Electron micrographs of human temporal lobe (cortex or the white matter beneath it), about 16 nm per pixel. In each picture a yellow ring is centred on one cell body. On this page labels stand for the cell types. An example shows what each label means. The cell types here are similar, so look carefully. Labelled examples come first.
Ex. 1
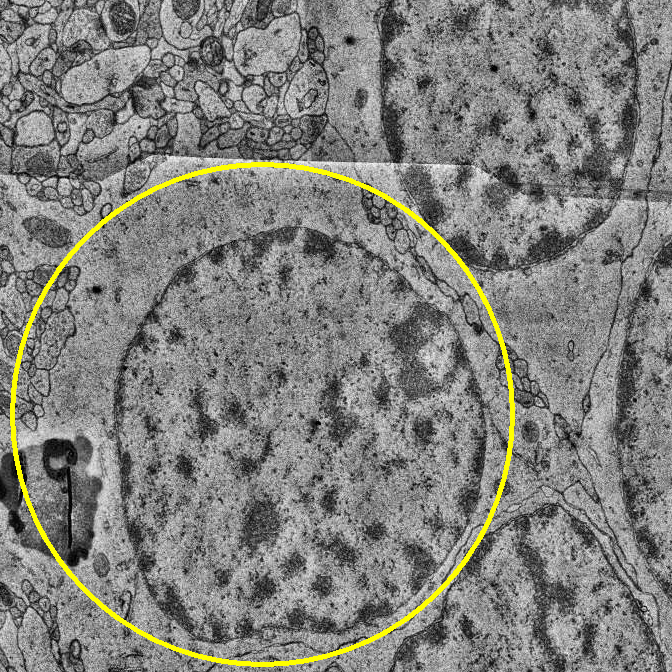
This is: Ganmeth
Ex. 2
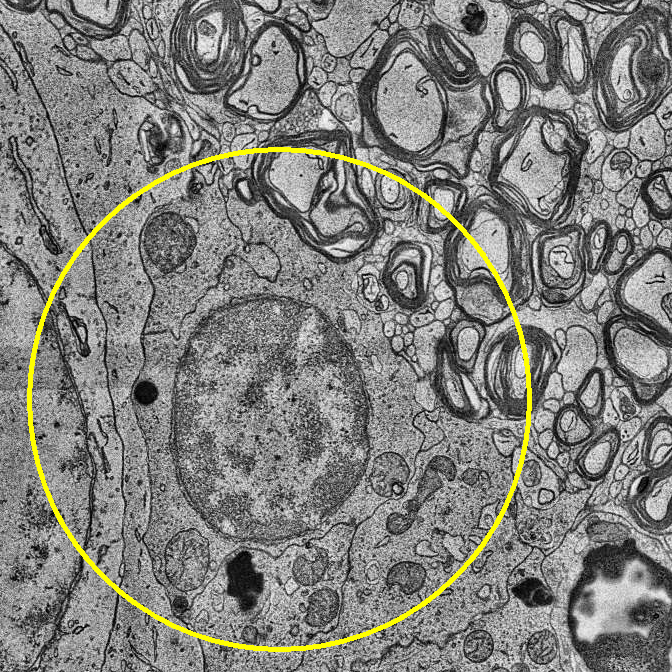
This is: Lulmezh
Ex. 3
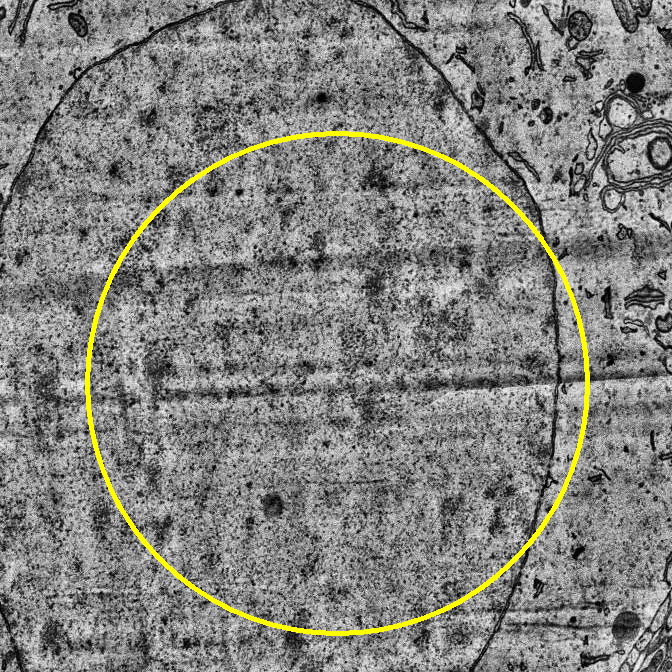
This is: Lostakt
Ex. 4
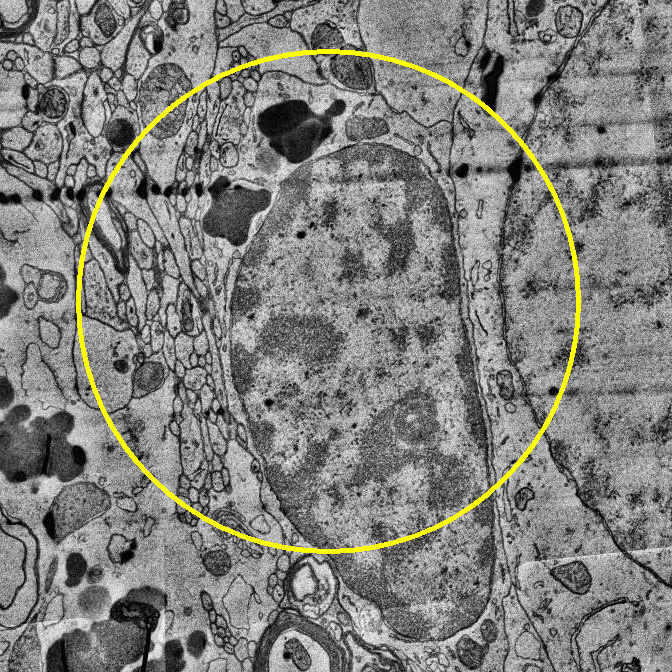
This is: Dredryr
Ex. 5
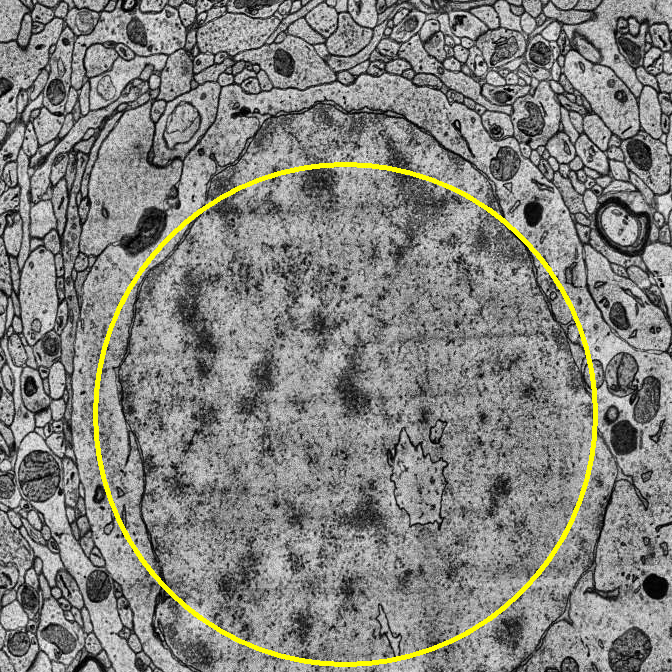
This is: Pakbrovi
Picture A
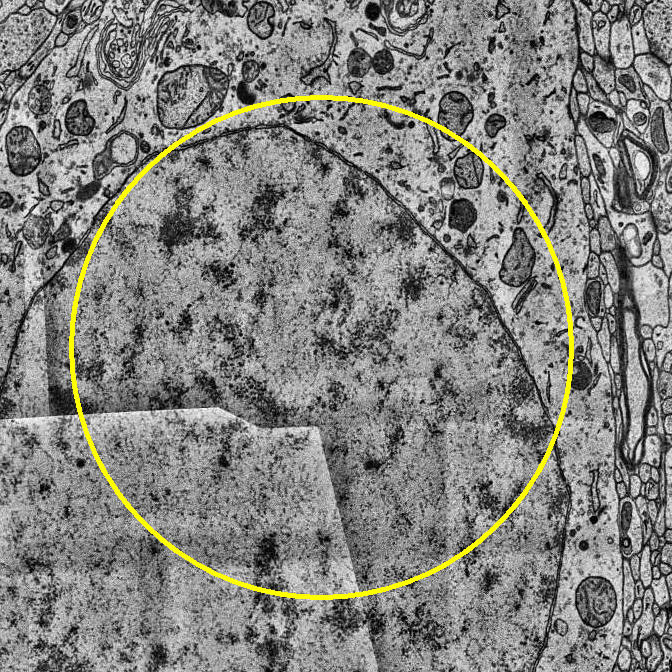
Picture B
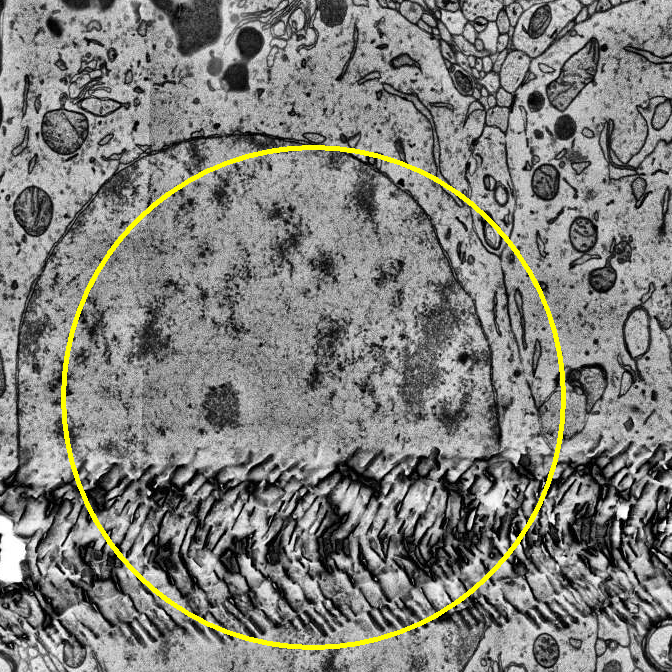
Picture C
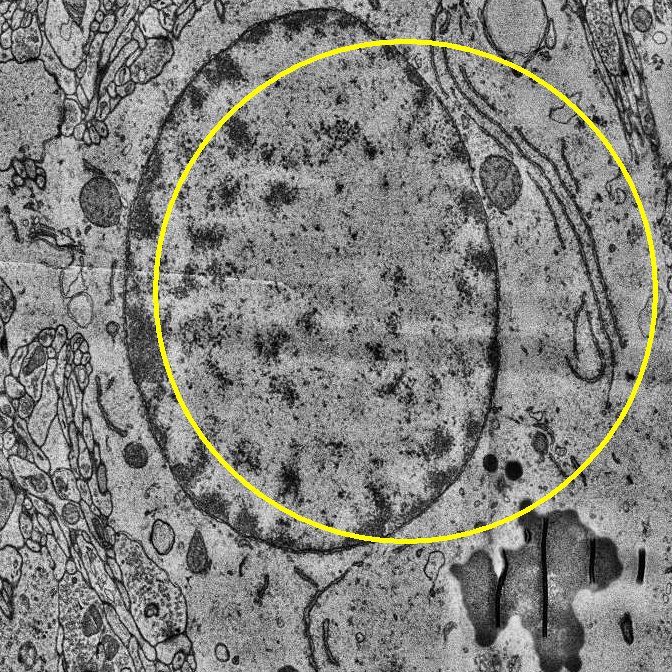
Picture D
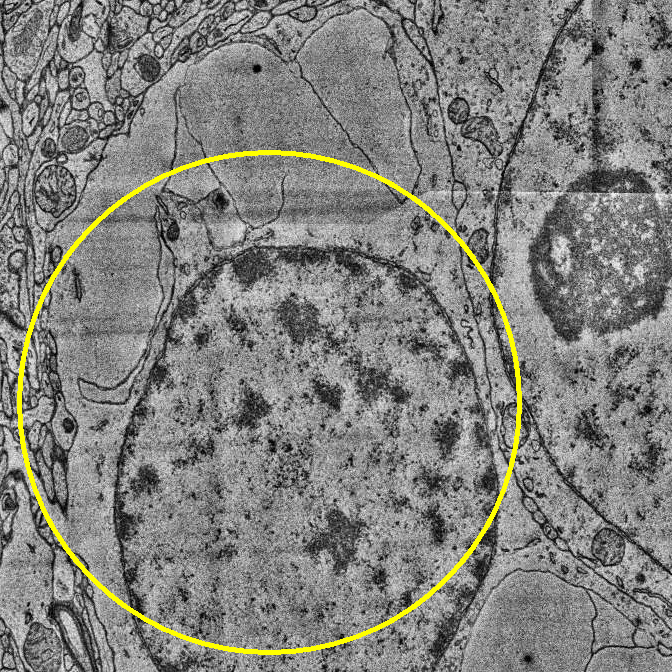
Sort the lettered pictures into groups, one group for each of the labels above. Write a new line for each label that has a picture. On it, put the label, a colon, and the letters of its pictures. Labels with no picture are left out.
Ganmeth: C, D
Lostakt: A
Pakbrovi: B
